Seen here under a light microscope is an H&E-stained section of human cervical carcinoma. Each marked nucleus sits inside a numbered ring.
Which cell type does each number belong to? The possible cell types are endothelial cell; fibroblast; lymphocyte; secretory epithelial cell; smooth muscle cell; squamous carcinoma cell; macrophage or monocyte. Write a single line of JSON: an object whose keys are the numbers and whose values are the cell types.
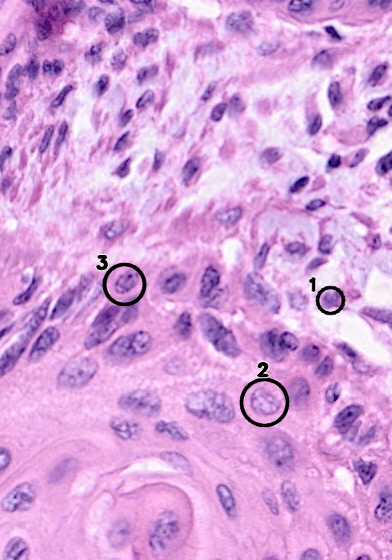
{"1": "fibroblast", "2": "squamous carcinoma cell", "3": "squamous carcinoma cell"}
